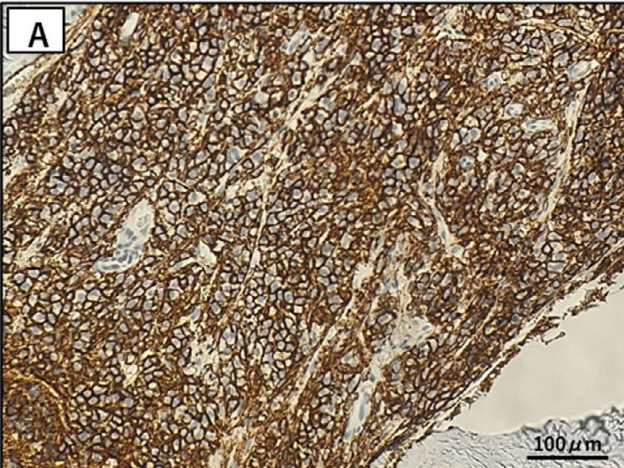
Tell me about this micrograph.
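Dense sheets of abnormal round cells fill the field, separated only by thin strands of pale fibrous stroma and a few small vessels. Nearly every cell carries a crisp brown outline at its border, giving a honeycomb pattern across the sheet. The nuclei are round to oval, blue and mostly central, with little cytoplasm visible inside the brown rims. The stromal strands and vessel walls between the sheets stay unstained and blue-grey. At the lower right edge the tissue ends against an empty space.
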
